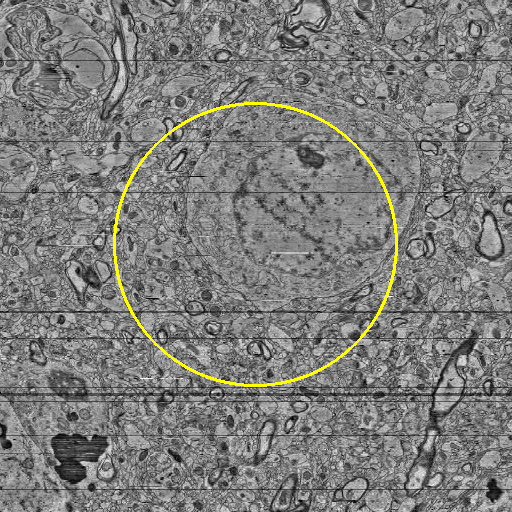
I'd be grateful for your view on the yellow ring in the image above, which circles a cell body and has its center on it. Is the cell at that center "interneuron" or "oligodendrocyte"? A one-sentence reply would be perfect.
The cell at the center of the yellow ring is an interneuron.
